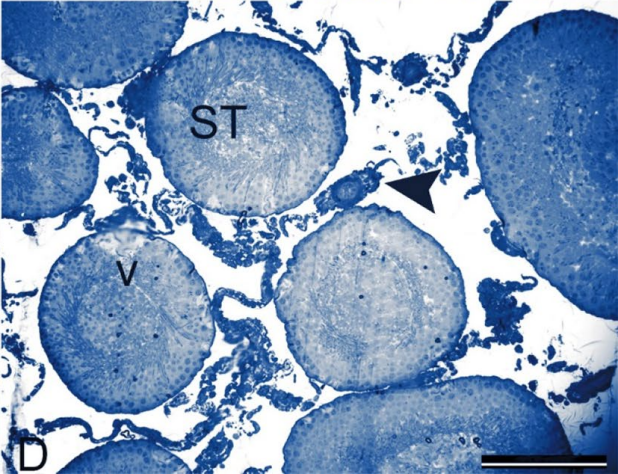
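Low-magnification section of rounded seminiferous tubules with thick, multilayered blue-stained epithelium around central lumina, separated by loose interstitial tissue. One tubule shows a pale, clear space near its edge, and a small rounded group of interstitial cells lies between tubules.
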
